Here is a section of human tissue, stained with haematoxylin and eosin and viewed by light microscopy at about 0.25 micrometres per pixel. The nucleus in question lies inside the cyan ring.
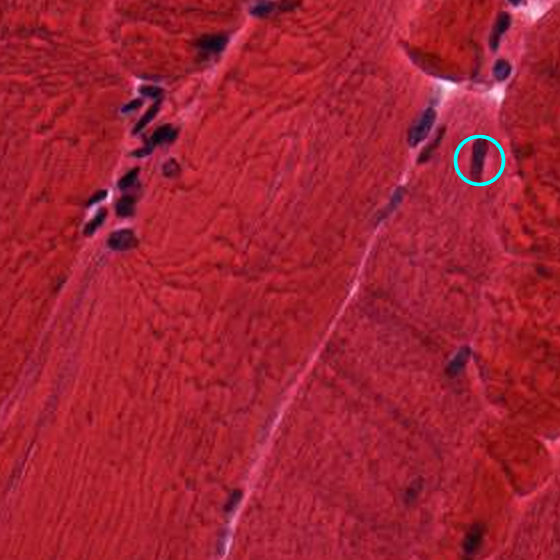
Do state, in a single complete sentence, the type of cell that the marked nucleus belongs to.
The marked nucleus is contained in a skeletal muscle fibre.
